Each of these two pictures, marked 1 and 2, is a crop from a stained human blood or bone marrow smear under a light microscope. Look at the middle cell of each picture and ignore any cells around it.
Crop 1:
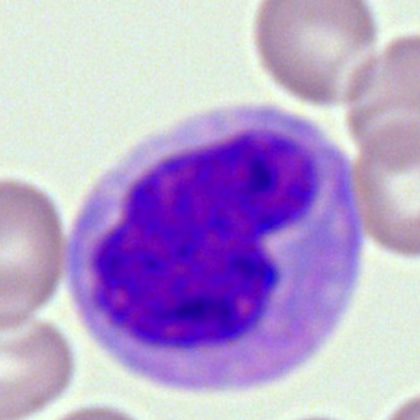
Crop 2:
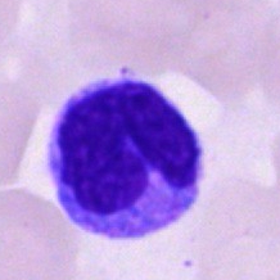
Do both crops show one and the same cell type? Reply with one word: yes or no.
yes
